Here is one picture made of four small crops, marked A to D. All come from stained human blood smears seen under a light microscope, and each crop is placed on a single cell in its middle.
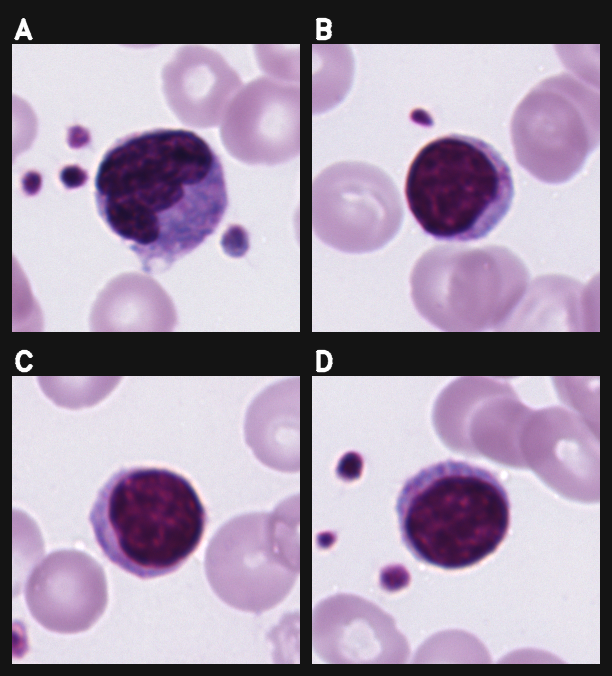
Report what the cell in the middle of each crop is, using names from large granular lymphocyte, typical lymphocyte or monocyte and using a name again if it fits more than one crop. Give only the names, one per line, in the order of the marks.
monocyte
typical lymphocyte
typical lymphocyte
typical lymphocyte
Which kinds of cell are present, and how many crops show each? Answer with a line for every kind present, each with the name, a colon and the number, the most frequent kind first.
typical lymphocyte: 3
monocyte: 1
